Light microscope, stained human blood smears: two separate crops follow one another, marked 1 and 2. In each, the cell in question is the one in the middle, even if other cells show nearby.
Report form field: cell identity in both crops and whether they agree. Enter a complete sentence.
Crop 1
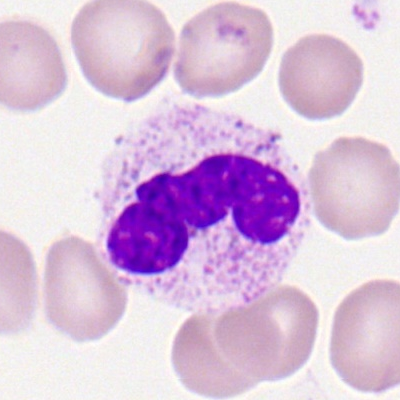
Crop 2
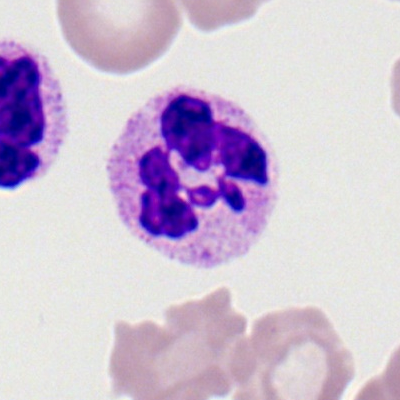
Yes, the cells at the centres of the two crops are neutrophils.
